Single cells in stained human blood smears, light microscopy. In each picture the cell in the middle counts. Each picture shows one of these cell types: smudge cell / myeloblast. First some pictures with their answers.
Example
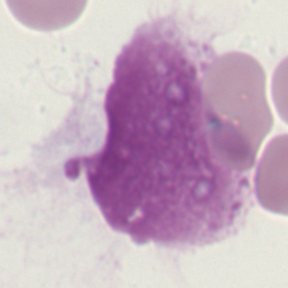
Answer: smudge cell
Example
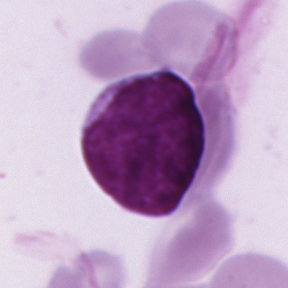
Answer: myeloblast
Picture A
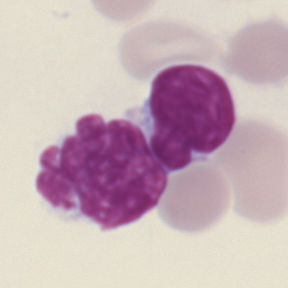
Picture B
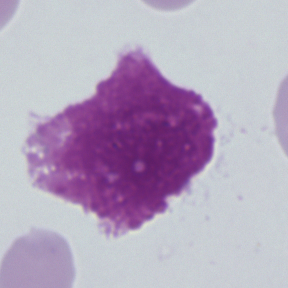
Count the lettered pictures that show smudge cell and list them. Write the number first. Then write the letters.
1: B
